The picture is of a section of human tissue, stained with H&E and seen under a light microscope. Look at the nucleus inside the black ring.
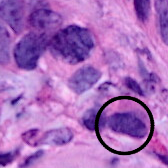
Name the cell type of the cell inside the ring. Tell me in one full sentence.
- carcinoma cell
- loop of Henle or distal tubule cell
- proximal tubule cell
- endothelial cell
Recorded by type, the cell inside the ring is a carcinoma cell.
